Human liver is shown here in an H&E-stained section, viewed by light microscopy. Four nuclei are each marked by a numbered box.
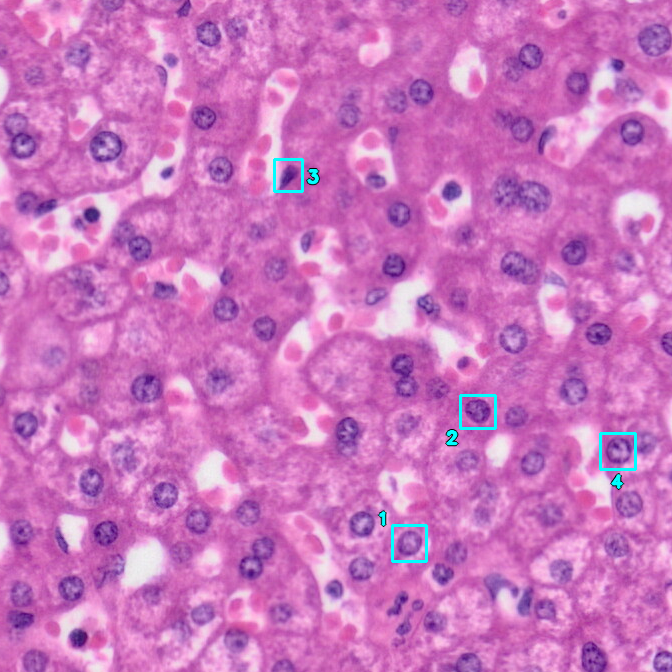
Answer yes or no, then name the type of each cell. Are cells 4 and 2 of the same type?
Yes, note that cells 4 and 2 are both hepatocytes.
